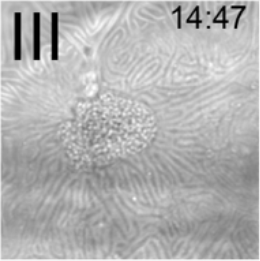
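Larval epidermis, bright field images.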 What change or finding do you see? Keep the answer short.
Microridge pattern has dissolved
